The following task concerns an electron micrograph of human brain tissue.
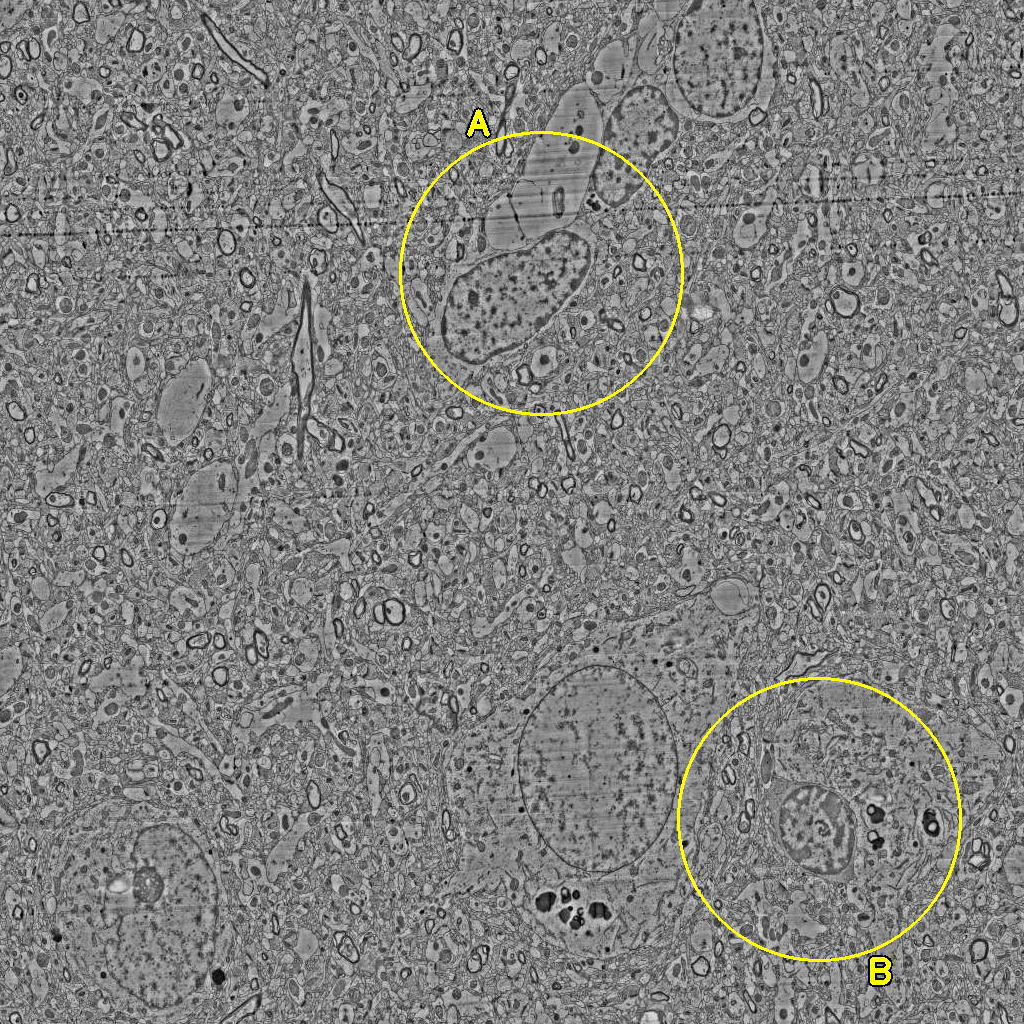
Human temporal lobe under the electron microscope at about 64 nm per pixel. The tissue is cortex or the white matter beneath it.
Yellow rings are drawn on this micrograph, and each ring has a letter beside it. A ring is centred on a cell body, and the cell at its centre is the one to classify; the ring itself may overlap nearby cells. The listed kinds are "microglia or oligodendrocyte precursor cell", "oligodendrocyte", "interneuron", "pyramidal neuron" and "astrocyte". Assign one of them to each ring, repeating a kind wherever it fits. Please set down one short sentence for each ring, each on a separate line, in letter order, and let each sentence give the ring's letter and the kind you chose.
The cell ringed as A is a microglial cell or oligodendrocyte precursor cell.
The cell ringed as B is an oligodendrocyte.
